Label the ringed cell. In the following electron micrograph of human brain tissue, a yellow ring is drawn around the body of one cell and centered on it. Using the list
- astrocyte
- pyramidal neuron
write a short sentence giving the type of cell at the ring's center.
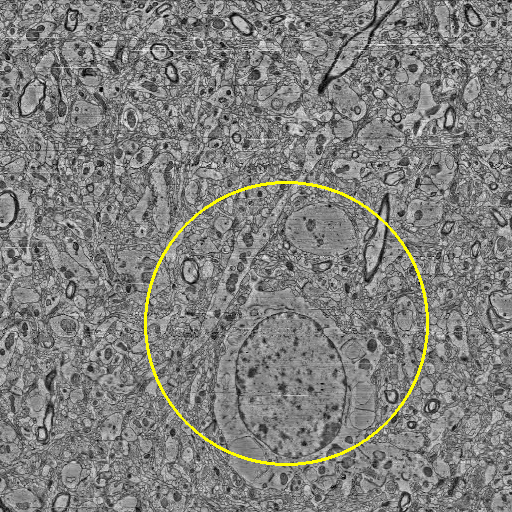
The cell body at the ring's center is that of an astrocyte.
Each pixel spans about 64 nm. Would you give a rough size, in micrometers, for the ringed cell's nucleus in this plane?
About 10 micrometres by about 7 micrometres in this plane.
